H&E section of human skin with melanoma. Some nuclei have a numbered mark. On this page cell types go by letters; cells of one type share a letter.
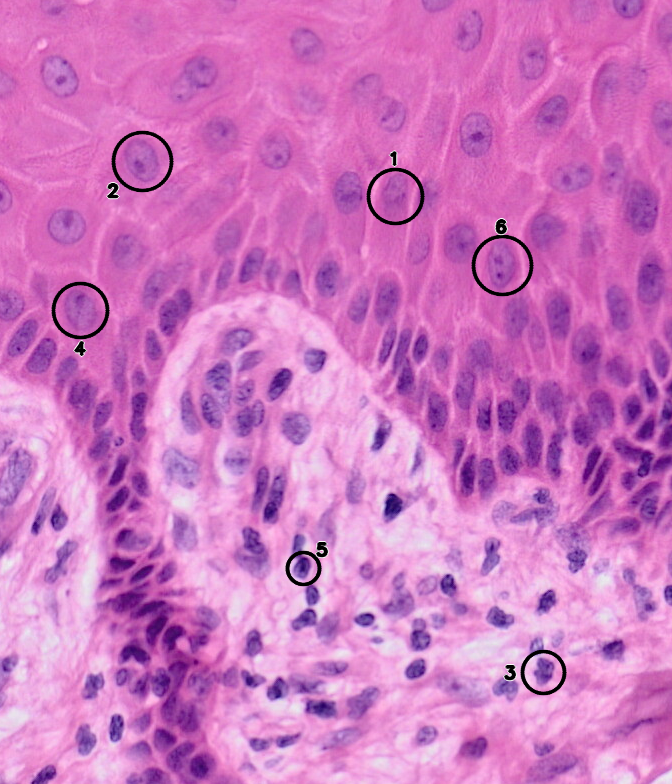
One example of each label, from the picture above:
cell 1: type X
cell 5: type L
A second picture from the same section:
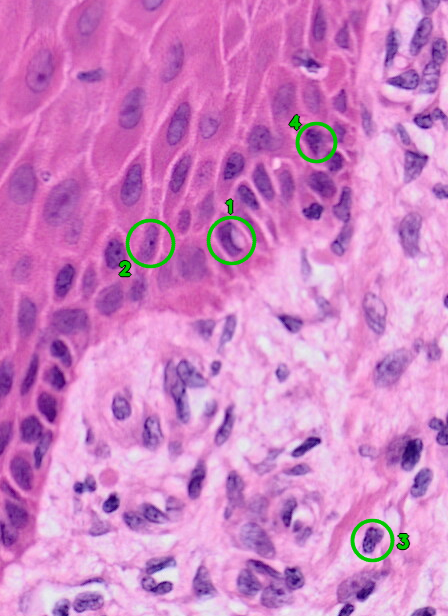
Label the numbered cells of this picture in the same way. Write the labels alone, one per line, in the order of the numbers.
type X
type X
type L
type X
